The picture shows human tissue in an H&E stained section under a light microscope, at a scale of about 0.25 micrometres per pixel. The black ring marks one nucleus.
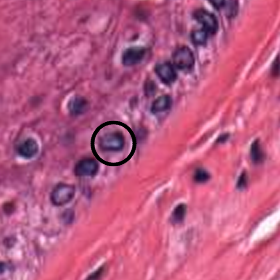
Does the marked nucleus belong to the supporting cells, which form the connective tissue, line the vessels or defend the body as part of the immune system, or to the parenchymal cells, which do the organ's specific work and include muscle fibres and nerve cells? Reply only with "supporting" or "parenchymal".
parenchymal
